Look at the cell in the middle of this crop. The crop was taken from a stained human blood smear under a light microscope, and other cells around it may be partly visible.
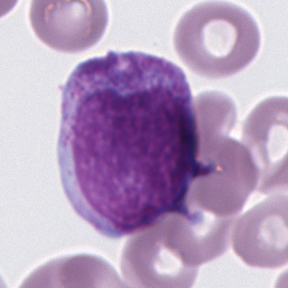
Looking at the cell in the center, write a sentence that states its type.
At the middle of the frame sits an atypical promyelocyte.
